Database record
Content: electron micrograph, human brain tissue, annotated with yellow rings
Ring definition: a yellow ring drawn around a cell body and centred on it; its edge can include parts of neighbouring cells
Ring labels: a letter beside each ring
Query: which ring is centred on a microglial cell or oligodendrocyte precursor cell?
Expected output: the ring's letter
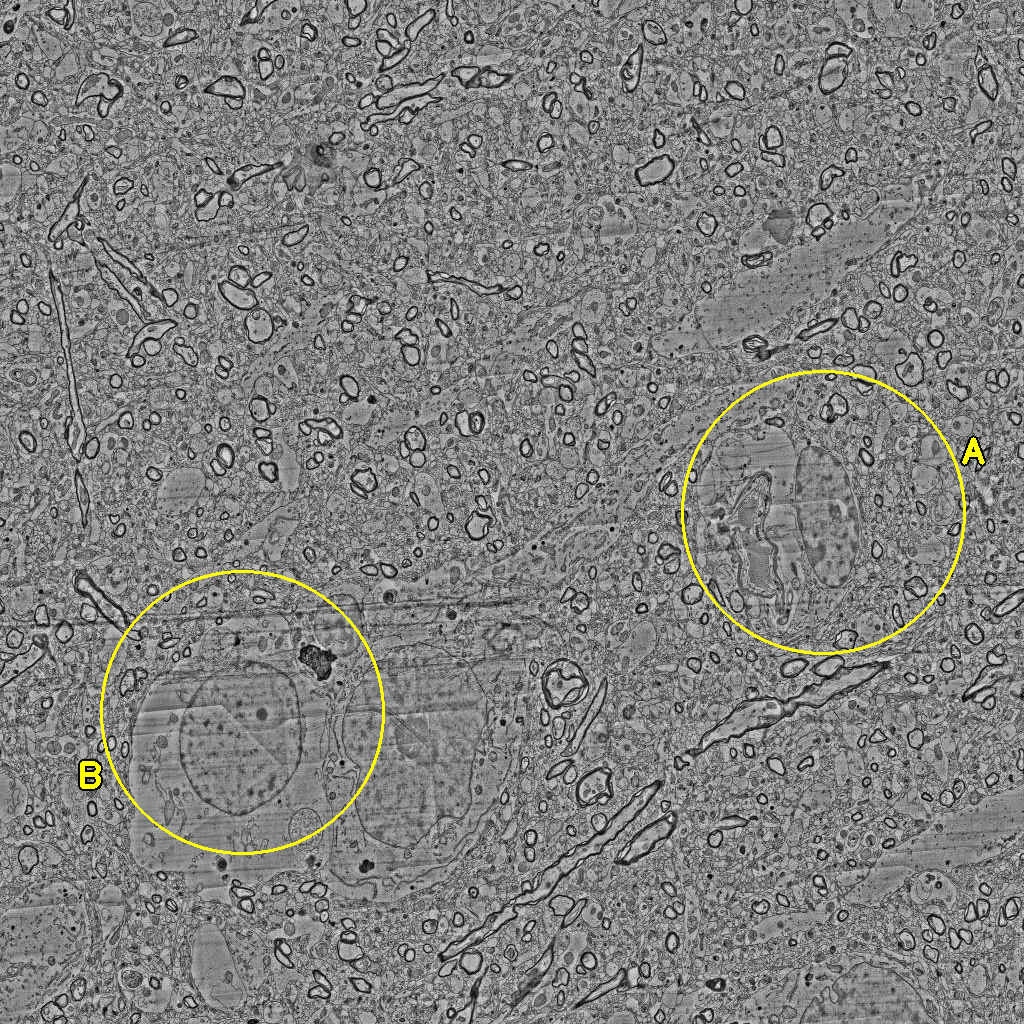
A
